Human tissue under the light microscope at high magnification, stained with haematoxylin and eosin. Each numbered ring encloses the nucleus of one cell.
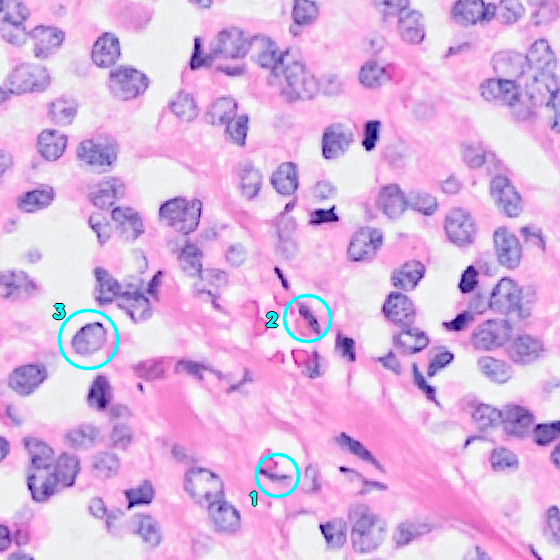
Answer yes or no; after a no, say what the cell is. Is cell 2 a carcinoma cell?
No, it is an endothelial cell.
